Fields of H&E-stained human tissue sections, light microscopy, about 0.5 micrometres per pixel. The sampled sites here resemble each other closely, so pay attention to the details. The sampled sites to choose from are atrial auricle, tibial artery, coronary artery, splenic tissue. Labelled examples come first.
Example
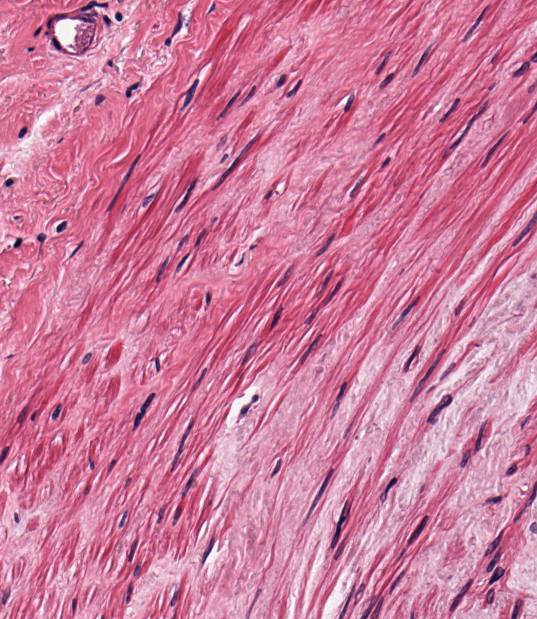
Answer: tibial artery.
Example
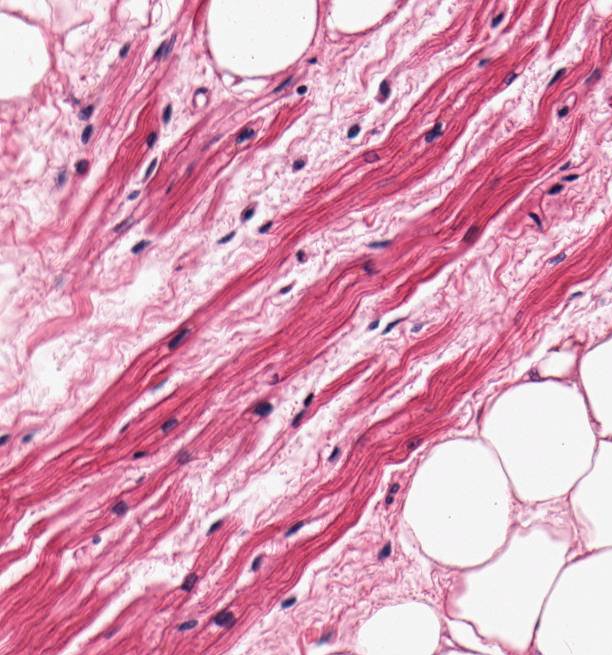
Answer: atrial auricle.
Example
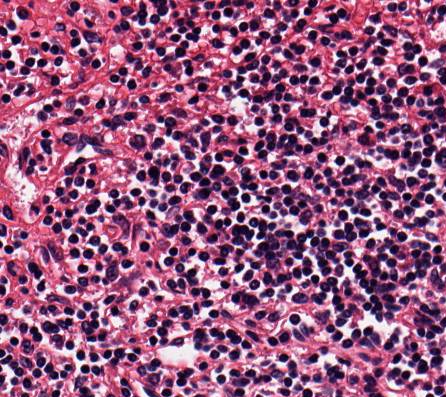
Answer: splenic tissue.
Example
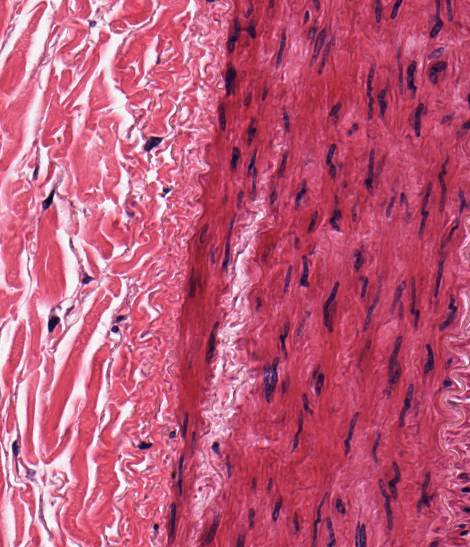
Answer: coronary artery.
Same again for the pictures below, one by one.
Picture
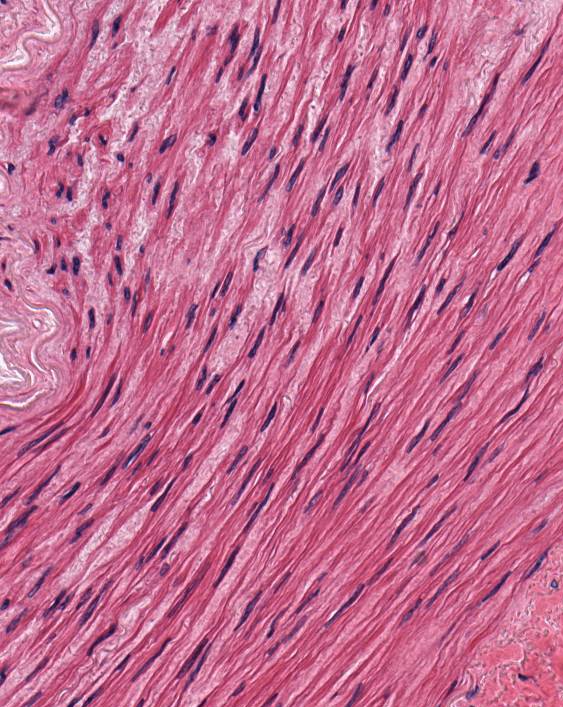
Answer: tibial artery.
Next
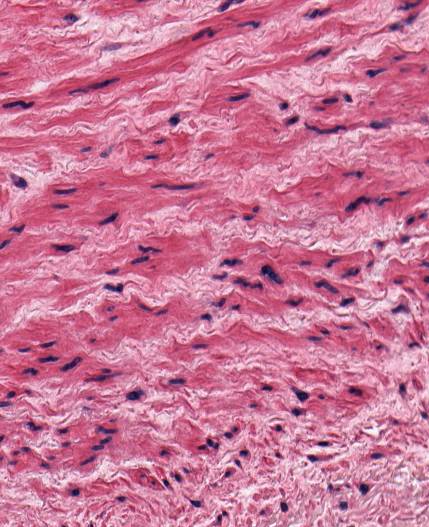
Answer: tibial artery.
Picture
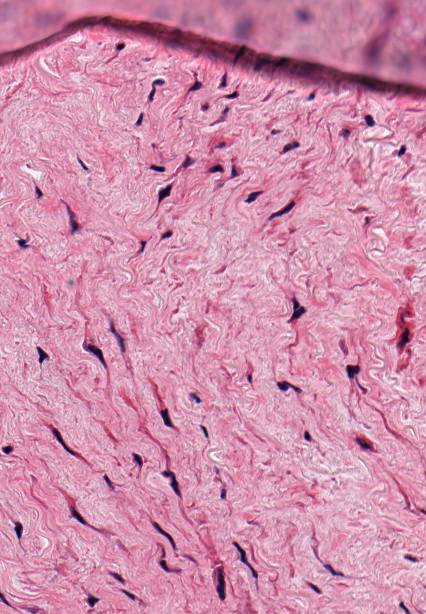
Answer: coronary artery.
